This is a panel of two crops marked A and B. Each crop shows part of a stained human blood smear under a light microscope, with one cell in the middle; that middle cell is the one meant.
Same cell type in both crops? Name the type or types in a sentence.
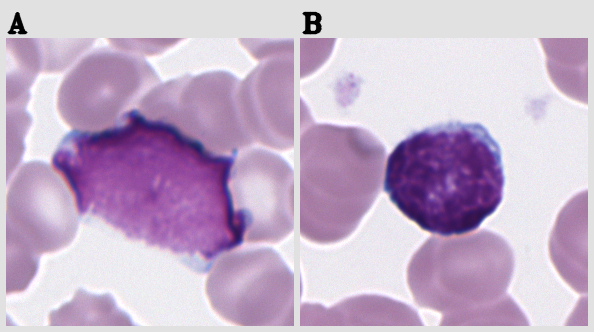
Yes, both crops here show typical lymphocytes, the pair of them.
